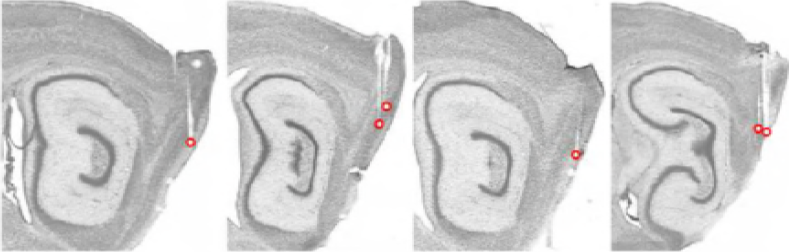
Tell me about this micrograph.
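In each, a curved, folded band of tightly packed cells forms a C-shaped structure in the middle of the section, surrounded by paler, more diffusely cellular tissue. Near the right-hand edge of each section, thin pale tracks run down through the tissue, and small red circles mark the points where the tracks end.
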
